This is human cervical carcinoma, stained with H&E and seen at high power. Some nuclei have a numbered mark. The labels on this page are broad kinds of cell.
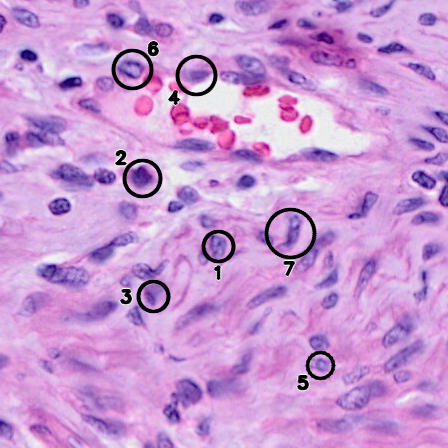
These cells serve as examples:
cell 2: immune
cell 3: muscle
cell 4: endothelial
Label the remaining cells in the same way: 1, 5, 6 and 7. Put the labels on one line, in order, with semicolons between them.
muscle; muscle; endothelial; muscle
